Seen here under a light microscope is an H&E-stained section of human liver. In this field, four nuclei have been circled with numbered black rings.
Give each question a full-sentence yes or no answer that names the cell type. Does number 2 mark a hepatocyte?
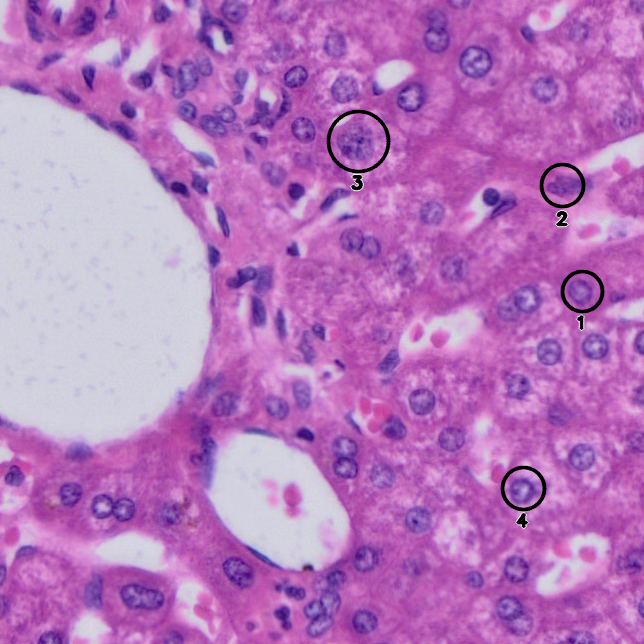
No, a Kupffer cell, not a hepatocyte, is the cell with number 2.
